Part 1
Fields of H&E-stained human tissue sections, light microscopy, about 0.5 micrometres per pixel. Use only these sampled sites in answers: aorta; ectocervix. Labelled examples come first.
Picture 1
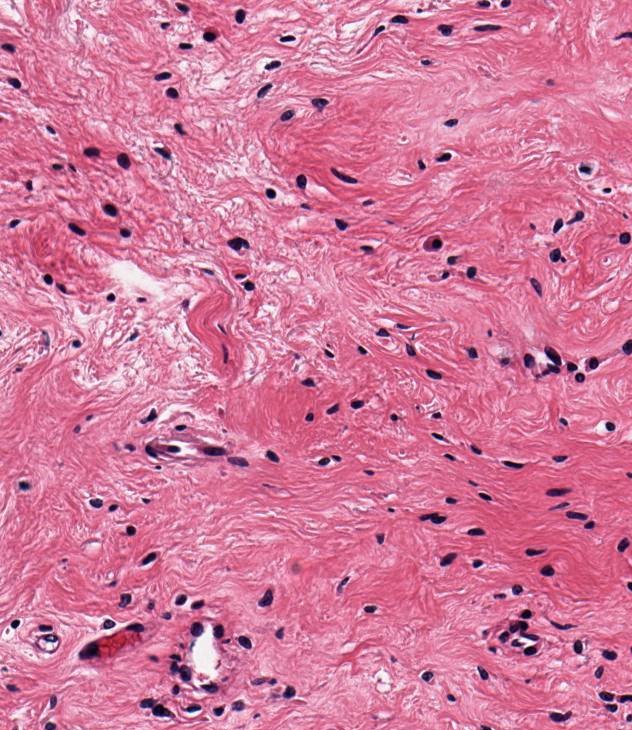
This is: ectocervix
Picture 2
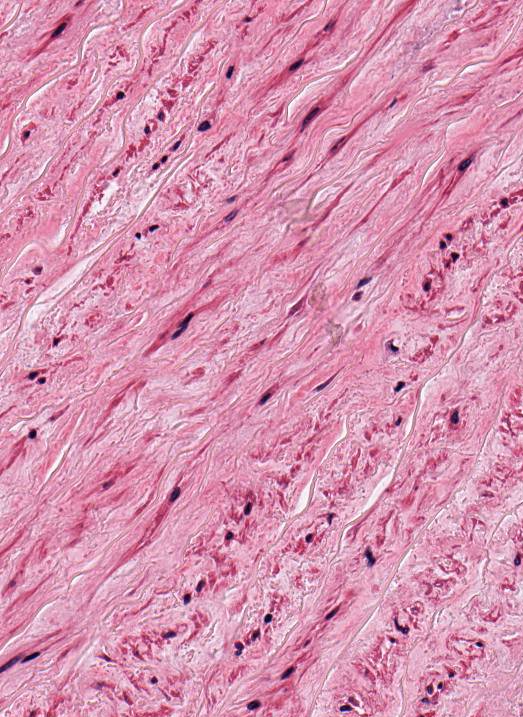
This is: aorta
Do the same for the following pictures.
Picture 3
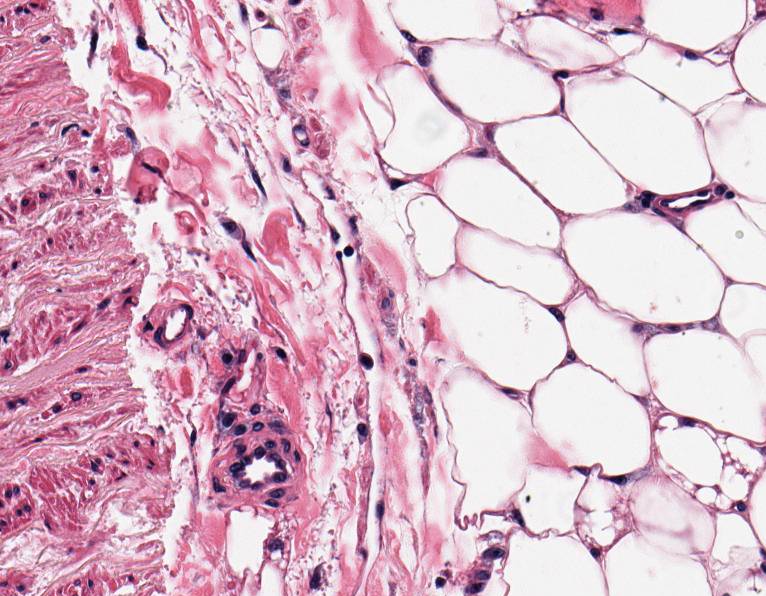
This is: aorta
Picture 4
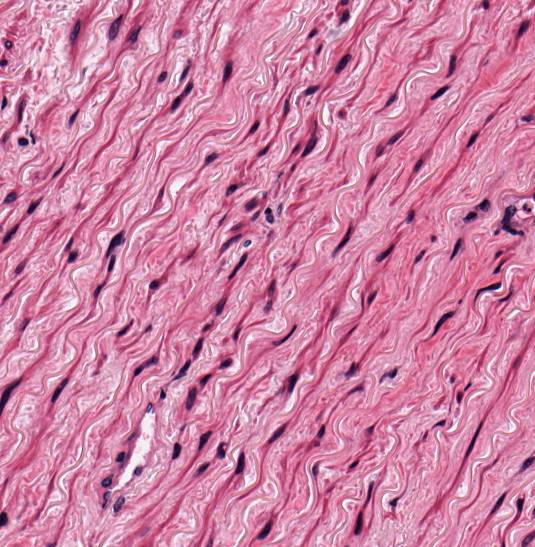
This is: aorta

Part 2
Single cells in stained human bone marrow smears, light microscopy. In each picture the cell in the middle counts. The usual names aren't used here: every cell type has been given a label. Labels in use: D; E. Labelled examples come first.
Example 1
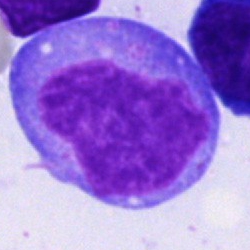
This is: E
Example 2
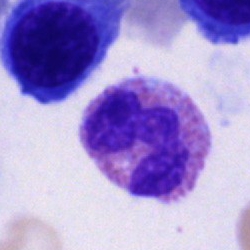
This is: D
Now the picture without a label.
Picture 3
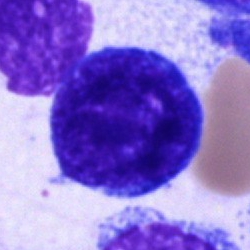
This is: E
